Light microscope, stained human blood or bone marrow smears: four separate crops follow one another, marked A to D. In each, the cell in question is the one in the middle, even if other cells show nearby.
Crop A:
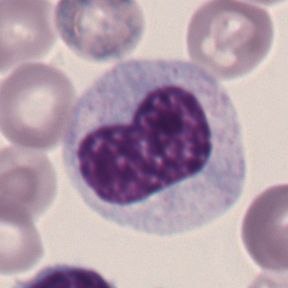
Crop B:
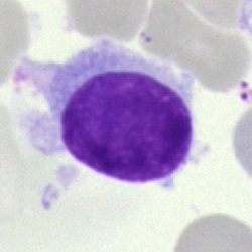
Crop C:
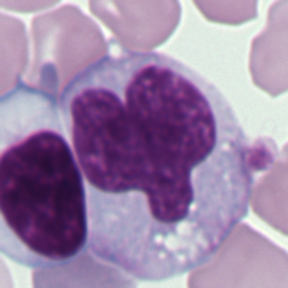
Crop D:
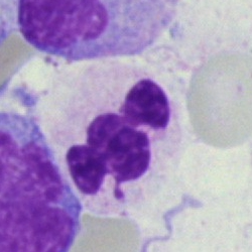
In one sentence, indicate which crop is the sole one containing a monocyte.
It is in crop C that a monocyte is shown.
